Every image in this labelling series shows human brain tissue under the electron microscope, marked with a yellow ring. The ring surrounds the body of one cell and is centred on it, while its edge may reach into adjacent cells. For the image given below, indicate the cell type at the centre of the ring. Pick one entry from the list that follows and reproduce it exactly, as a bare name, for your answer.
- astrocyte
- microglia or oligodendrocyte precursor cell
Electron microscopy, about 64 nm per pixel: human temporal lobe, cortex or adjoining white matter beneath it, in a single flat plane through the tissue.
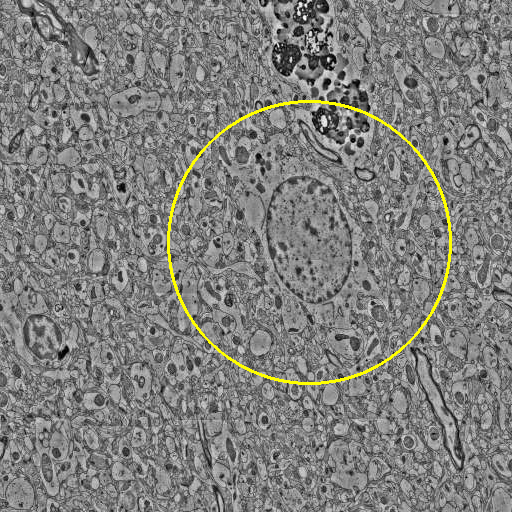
astrocyte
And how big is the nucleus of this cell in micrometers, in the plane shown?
Approximately 8 by 5 micrometers, which makes the nucleus clearly longer than it is wide in this plane.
